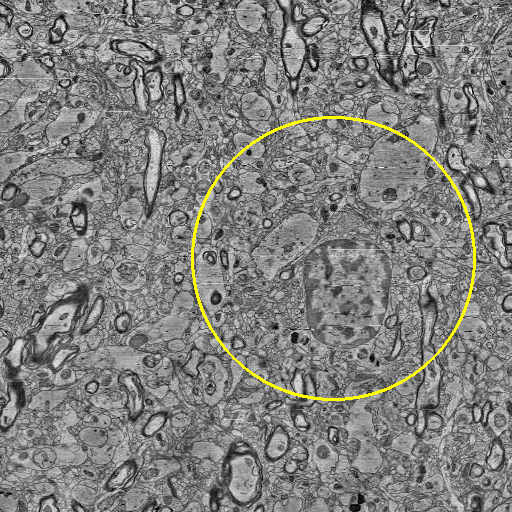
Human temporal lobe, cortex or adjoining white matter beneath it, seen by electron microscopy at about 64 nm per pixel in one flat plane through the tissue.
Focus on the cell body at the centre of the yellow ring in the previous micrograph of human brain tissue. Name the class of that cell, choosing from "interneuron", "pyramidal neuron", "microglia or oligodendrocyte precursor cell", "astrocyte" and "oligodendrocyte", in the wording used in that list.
microglia or oligodendrocyte precursor cell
